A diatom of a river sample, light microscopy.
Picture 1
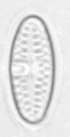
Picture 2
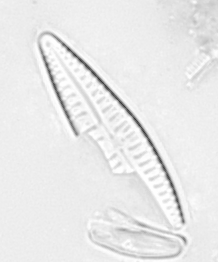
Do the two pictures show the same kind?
No: Planothidium, then Gomphonema.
